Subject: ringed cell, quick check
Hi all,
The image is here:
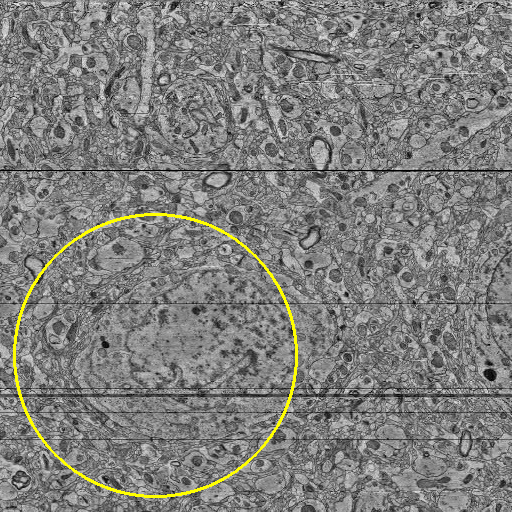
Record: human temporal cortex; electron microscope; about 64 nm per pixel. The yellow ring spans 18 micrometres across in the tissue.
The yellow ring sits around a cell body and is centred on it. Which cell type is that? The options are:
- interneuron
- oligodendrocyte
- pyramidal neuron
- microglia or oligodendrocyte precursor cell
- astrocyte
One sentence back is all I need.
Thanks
That ringed cell is an interneuron.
